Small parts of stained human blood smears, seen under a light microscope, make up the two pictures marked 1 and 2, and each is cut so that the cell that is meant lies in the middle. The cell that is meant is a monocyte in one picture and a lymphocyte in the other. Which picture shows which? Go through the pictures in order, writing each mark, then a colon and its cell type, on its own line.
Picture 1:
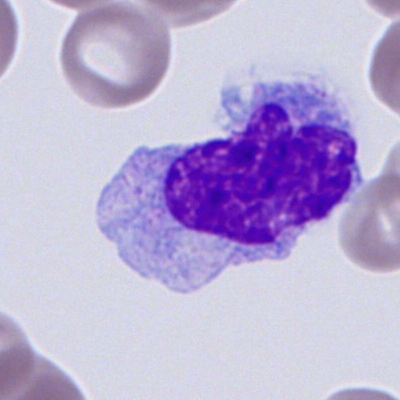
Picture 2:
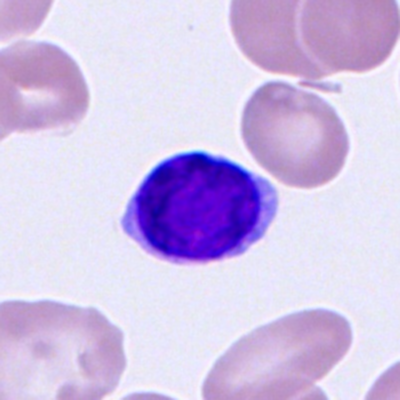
1: monocyte
2: lymphocyte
